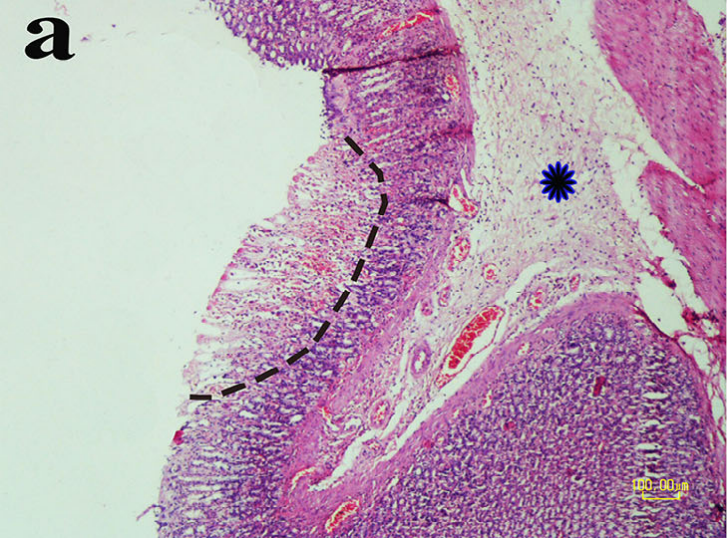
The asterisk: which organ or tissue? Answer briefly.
Submucosal layer.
